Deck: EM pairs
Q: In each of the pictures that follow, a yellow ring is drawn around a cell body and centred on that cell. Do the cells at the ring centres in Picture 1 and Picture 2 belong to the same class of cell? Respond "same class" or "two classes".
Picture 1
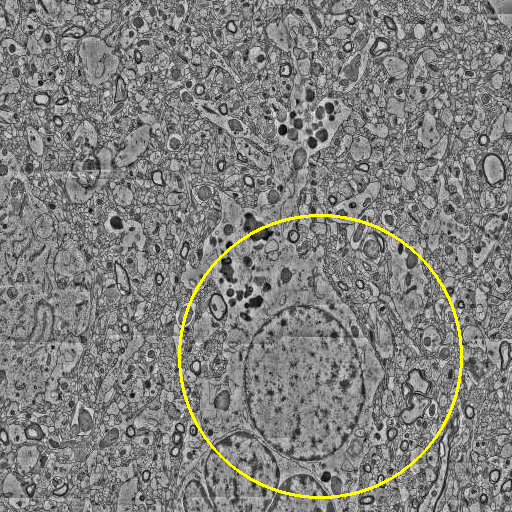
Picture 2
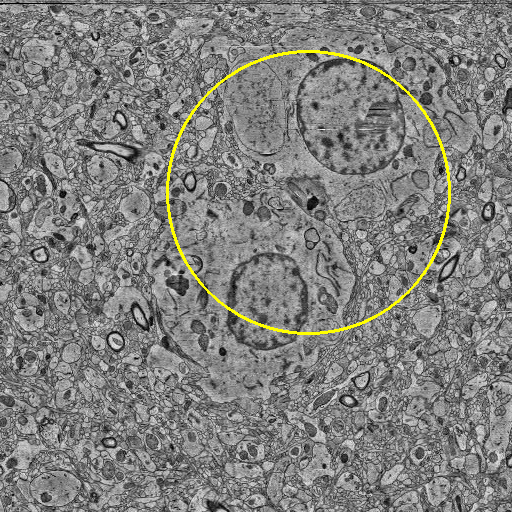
two classes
